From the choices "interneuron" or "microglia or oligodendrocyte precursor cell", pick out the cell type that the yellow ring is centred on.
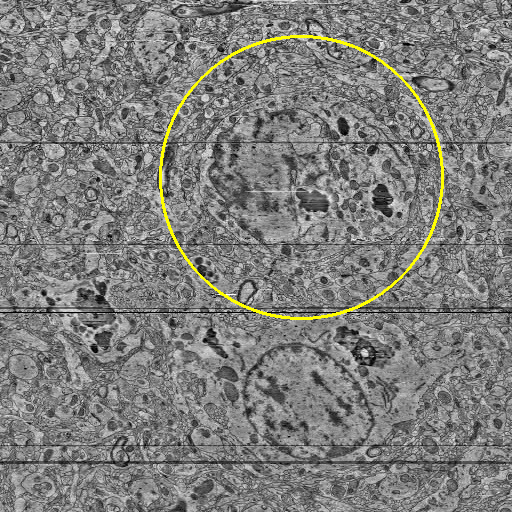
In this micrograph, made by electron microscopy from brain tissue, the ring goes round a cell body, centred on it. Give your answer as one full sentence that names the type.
The yellow ring is centred on an interneuron, whose cell body it encircles in the picture.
